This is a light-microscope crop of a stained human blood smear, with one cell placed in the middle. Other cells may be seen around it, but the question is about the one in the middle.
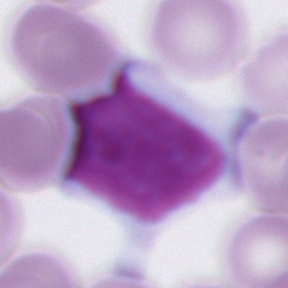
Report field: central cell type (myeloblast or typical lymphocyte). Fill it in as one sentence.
The centrally located cell in the crop is a typical lymphocyte.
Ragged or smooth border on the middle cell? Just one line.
Irregularity marks the cell border, whether as raggedness or as projections.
